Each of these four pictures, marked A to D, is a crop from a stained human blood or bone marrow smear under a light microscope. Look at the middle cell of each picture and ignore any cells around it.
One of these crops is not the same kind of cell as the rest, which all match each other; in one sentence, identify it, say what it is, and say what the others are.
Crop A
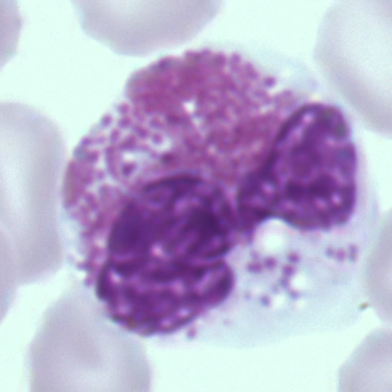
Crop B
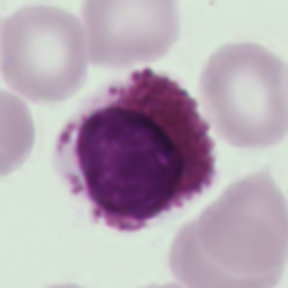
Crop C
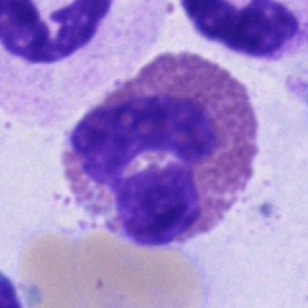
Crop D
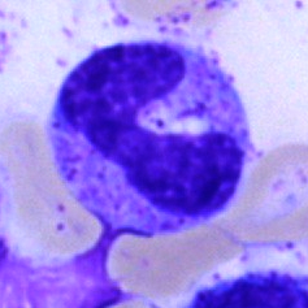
A different cell type, a band neutrophil, occupies crop D; the other crops show eosinophils.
